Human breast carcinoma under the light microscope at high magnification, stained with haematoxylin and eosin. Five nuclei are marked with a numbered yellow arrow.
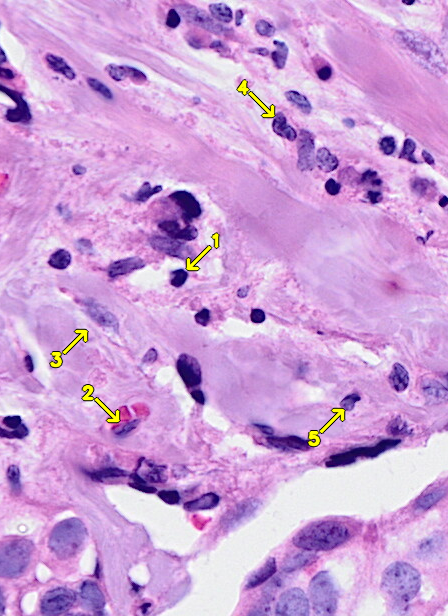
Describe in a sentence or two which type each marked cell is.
Cells 1, 4 and 5 are lymphocytes. Cell 2 is an endothelial cell. Cell 3 is a fibroblast.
